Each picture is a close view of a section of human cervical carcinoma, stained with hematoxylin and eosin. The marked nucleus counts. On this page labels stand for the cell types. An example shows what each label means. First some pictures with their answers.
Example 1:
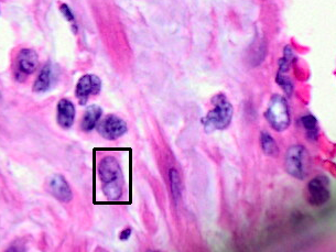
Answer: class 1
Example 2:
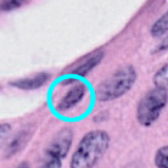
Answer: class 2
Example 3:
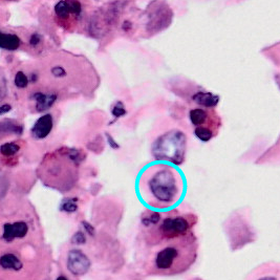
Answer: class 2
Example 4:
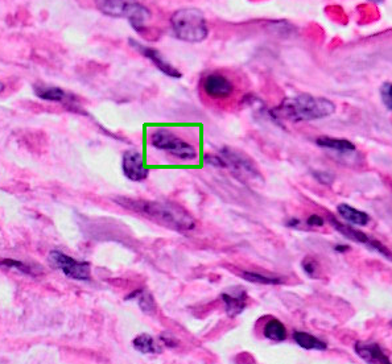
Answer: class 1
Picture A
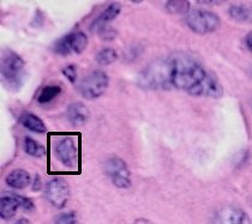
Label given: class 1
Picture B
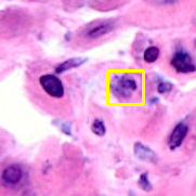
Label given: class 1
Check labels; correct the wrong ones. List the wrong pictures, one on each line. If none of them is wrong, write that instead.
A: change class 1 to class 2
